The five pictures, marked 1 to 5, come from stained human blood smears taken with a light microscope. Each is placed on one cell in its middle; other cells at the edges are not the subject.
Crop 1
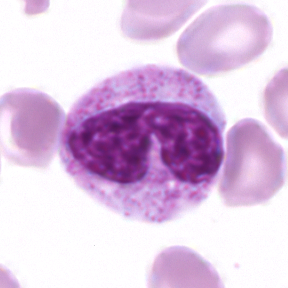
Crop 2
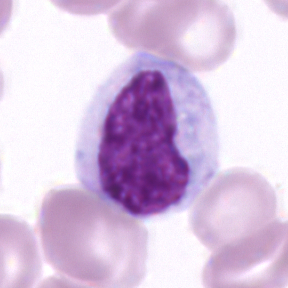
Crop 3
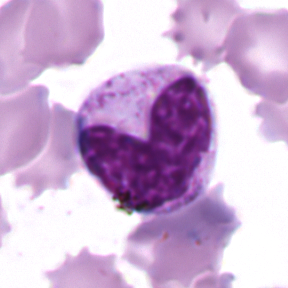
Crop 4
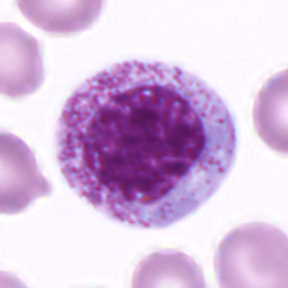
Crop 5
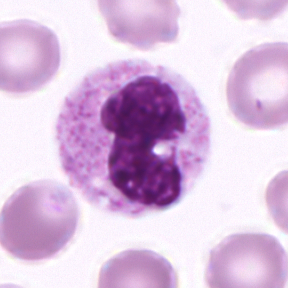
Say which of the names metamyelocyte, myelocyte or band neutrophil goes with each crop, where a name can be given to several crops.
1: band neutrophil
2: metamyelocyte
3: band neutrophil
4: myelocyte
5: band neutrophil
